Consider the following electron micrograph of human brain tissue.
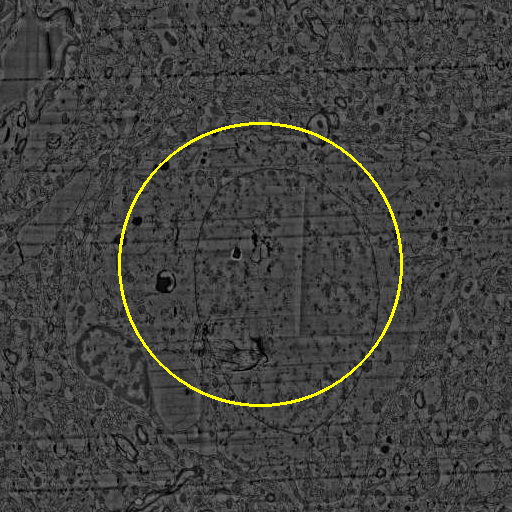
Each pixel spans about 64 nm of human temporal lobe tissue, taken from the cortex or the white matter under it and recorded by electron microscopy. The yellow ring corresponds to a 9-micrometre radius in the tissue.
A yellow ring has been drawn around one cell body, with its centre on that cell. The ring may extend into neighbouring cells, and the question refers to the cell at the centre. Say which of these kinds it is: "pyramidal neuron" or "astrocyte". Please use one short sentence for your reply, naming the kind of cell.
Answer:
The centre of the ring falls on a pyramidal neuron.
